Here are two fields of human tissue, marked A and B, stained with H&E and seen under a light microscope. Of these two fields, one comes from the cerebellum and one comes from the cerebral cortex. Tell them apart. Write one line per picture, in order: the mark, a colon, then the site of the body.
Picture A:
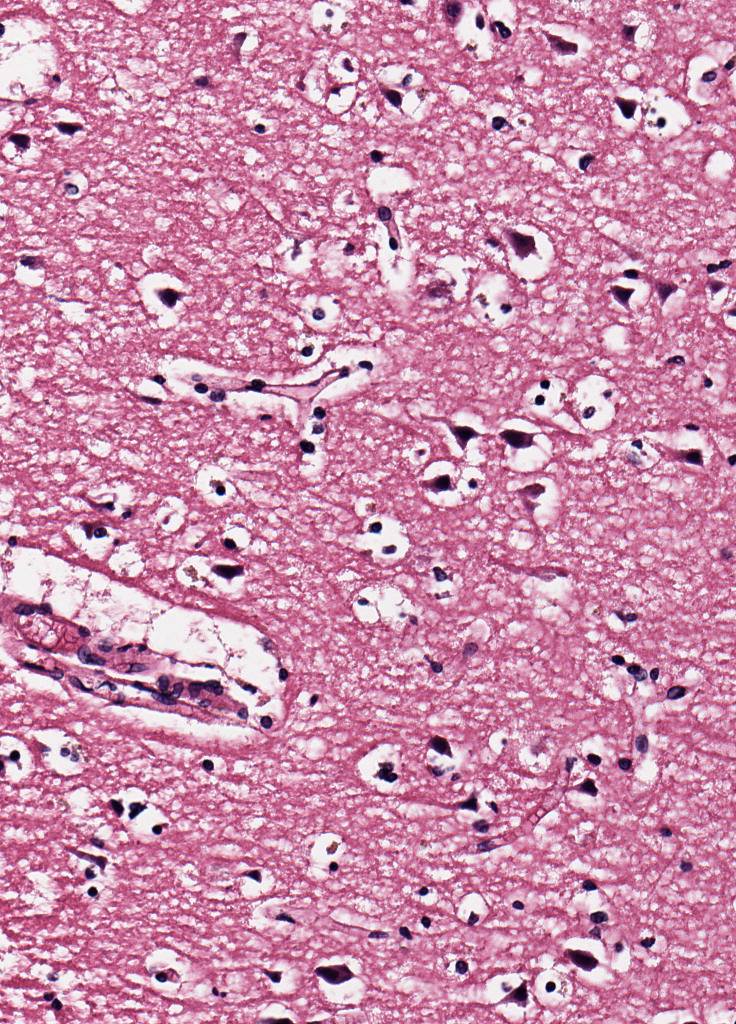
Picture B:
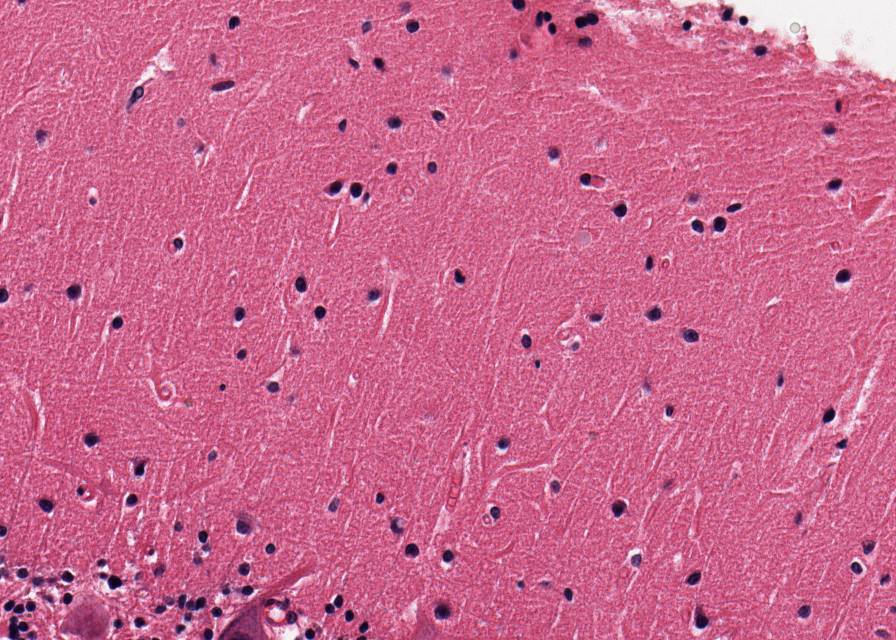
A: cerebral cortex
B: cerebellum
